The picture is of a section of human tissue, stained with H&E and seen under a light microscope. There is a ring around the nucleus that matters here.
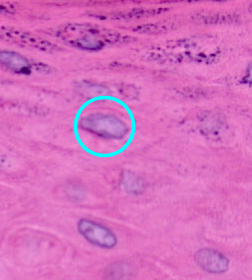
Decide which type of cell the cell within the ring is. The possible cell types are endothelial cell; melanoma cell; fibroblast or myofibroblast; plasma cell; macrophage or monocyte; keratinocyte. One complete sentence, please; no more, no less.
In terms of identity, the cell within the ring is a keratinocyte.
